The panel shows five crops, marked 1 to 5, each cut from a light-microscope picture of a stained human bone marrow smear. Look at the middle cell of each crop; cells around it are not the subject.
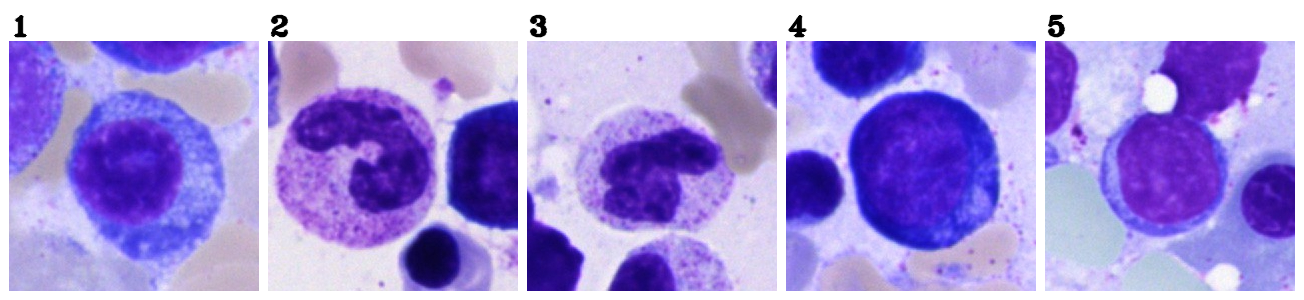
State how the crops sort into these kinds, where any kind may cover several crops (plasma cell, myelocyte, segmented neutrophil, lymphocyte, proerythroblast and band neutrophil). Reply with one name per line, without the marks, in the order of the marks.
plasma cell
band neutrophil
segmented neutrophil
proerythroblast
lymphocyte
